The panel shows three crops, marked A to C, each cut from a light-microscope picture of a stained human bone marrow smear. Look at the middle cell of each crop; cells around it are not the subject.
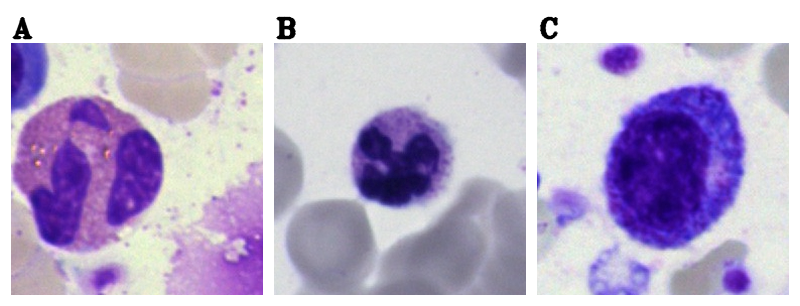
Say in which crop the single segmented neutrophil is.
B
